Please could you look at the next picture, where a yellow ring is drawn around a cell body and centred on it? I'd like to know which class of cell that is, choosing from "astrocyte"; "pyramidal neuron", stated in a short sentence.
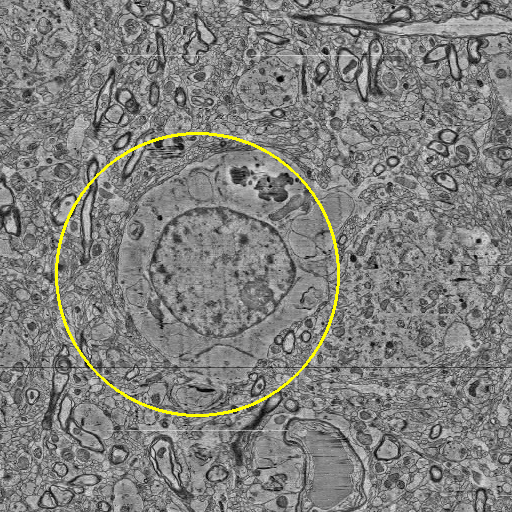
The ring's centre lies on an astrocyte.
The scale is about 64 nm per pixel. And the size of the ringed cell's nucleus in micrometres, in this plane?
In this plane, the nucleus measures approximately 9 micrometres across.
